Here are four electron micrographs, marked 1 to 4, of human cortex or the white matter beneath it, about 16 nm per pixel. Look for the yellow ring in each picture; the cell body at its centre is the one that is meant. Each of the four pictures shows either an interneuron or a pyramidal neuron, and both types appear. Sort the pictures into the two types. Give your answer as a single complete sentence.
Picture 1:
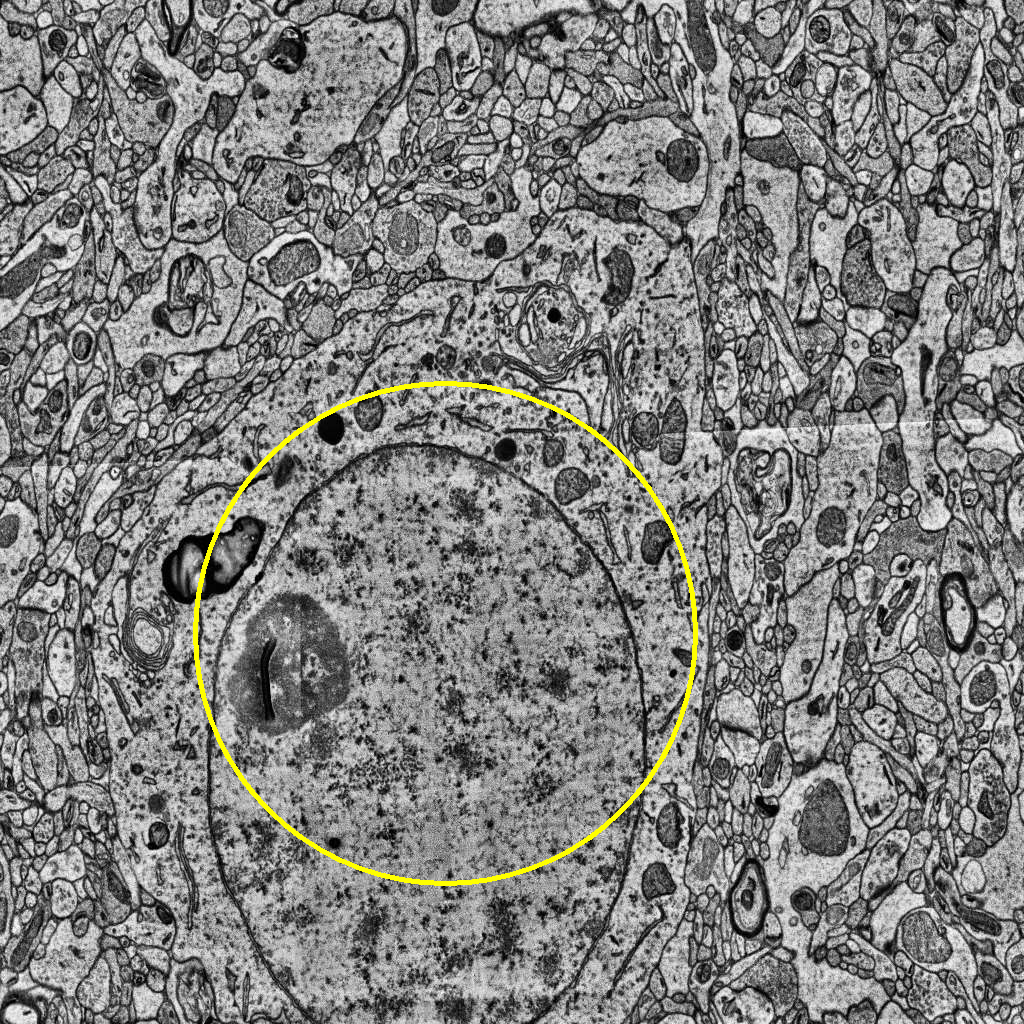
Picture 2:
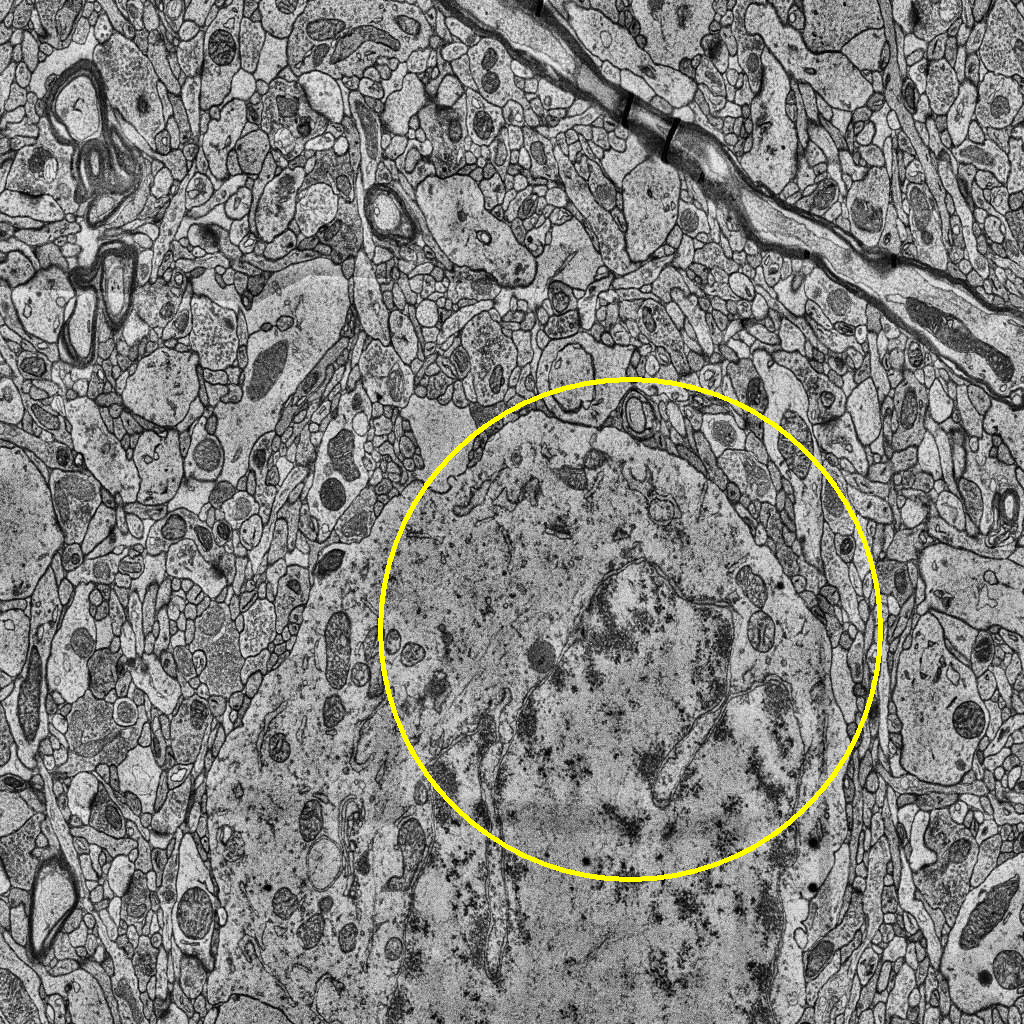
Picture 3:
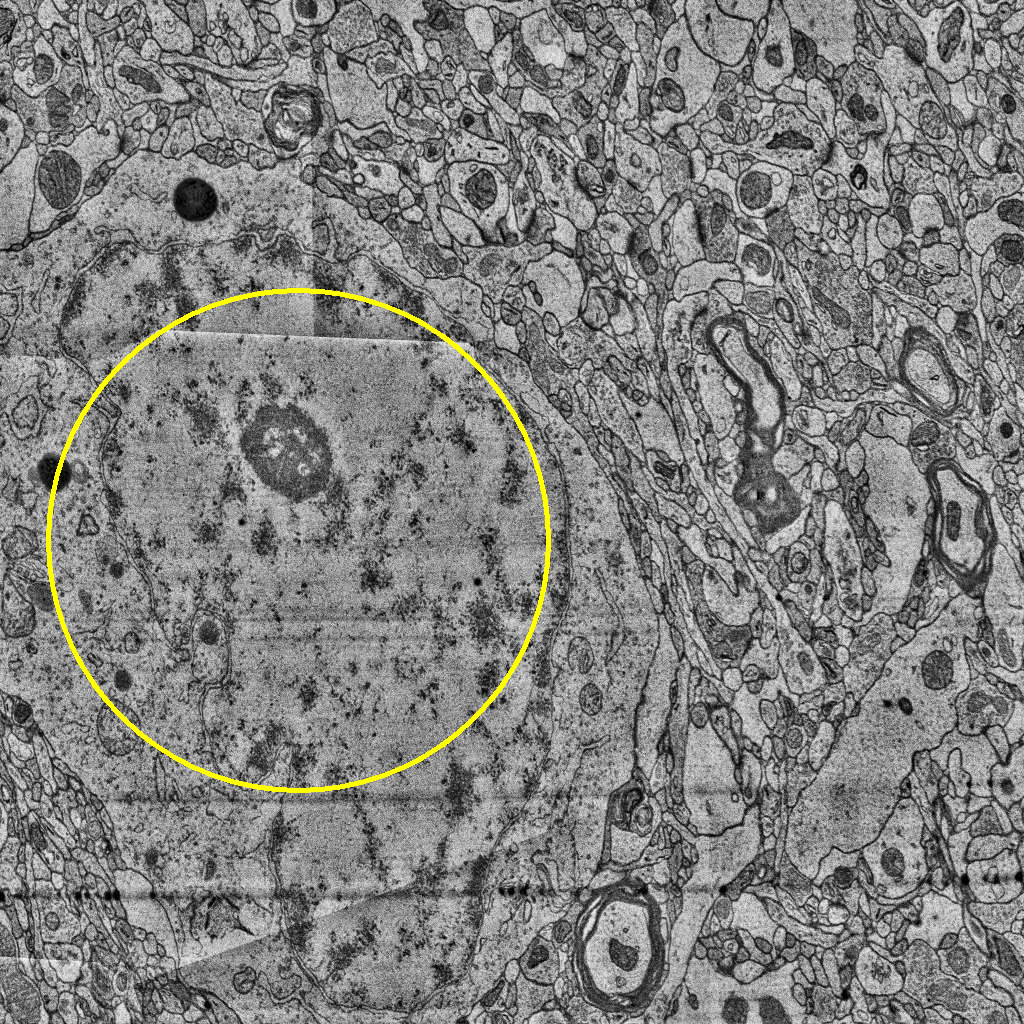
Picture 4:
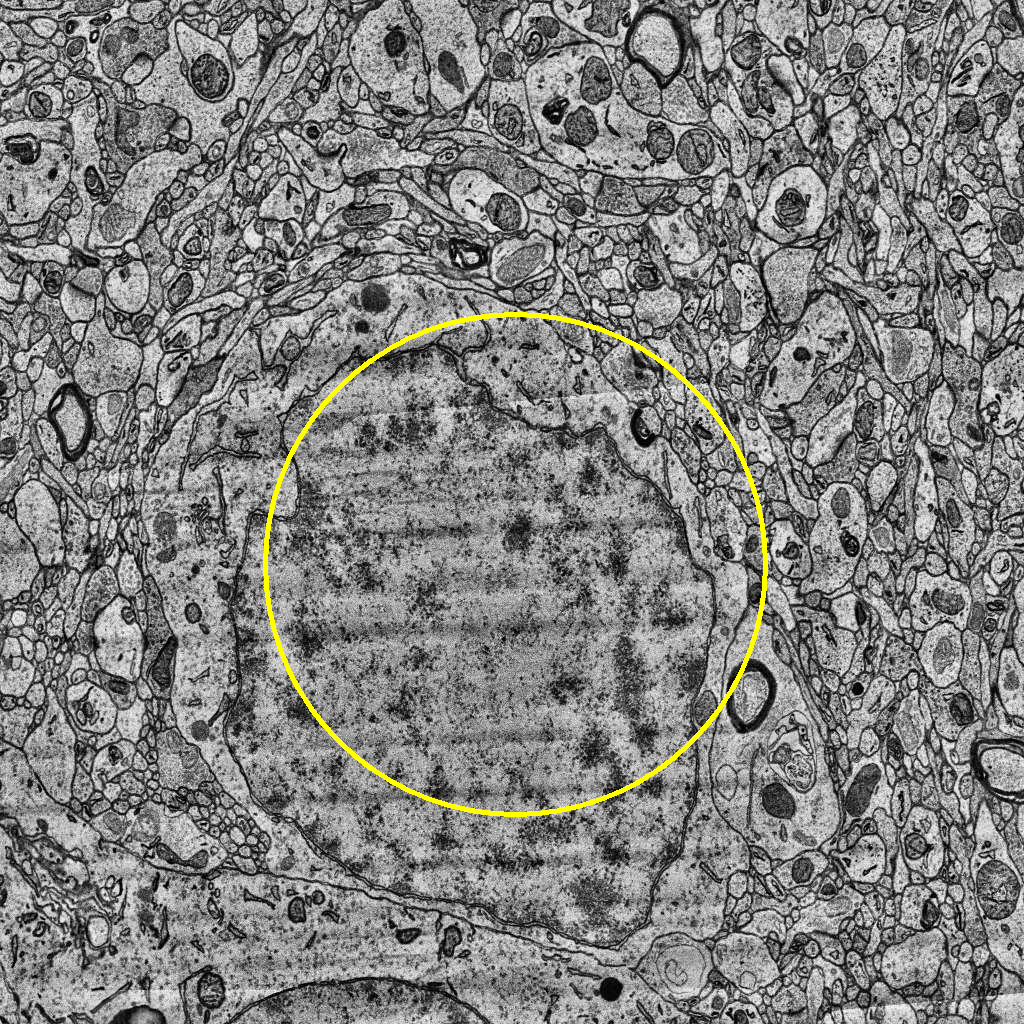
Pictures 2, 3 and 4 show interneurons, and picture 1 shows a pyramidal neuron.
